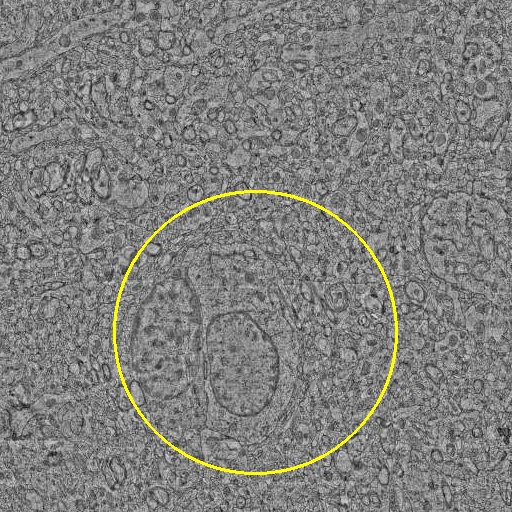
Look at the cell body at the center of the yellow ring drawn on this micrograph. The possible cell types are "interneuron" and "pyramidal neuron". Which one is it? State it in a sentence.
The cell in the middle of the ring is a pyramidal neuron.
